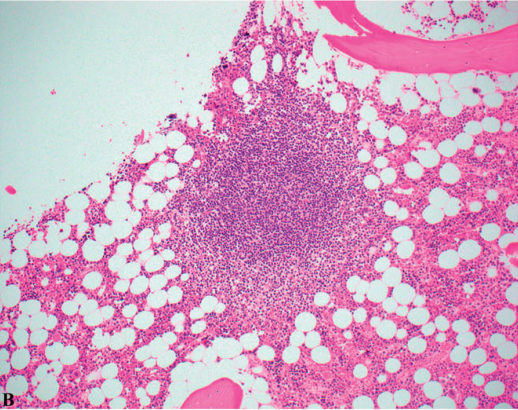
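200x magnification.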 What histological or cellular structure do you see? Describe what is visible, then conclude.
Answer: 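A dense central cluster of small cells with dark round nuclei. The cluster lacks fat spaces and stands apart from the surrounding mixed marrow. So: lymphoid aggregates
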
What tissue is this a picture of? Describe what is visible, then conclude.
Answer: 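Pink bony trabeculae at the top and bottom edges. Many round empty fat spaces among densely packed hematopoietic cells. On this evidence: bone marrow.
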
